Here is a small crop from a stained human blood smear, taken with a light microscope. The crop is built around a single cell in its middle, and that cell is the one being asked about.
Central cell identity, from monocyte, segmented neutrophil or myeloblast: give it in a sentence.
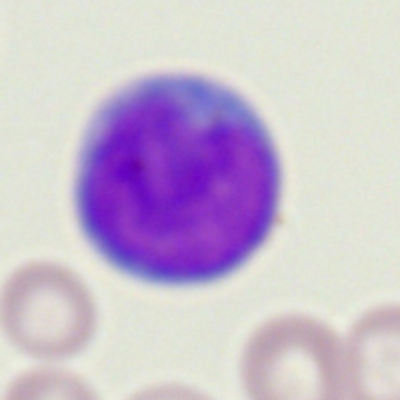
For this crop, the central cell is a myeloblast.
